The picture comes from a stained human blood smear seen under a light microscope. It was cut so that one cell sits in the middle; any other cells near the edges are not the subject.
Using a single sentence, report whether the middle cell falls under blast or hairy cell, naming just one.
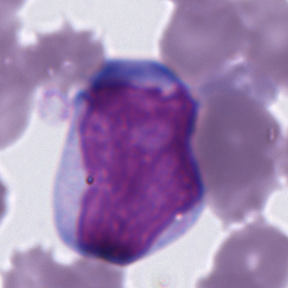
Framed in the middle of the crop is a blast.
